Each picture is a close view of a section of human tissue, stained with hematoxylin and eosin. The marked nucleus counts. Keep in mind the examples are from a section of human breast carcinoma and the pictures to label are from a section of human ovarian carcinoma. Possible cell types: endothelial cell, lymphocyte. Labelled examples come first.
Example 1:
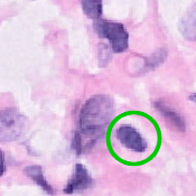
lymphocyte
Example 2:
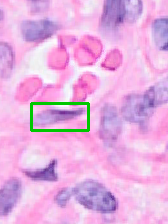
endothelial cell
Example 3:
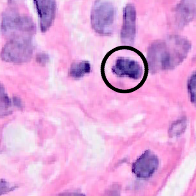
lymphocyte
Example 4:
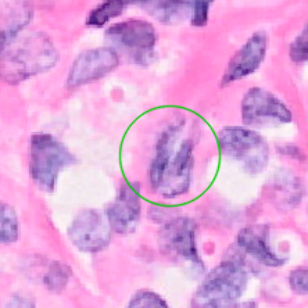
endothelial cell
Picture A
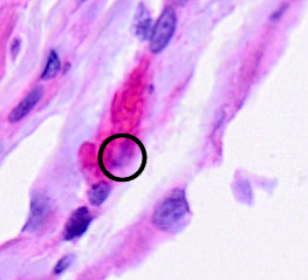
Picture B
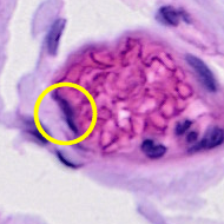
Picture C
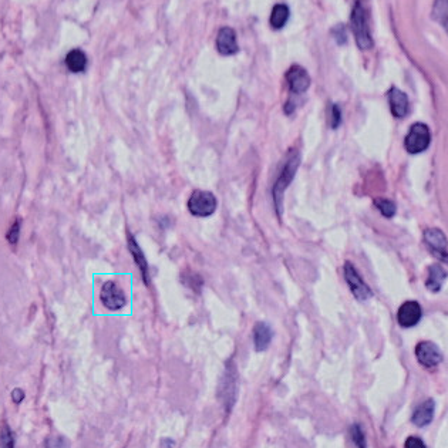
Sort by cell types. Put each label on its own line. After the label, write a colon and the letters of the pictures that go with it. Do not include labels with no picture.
endothelial cell: A, B
lymphocyte: C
